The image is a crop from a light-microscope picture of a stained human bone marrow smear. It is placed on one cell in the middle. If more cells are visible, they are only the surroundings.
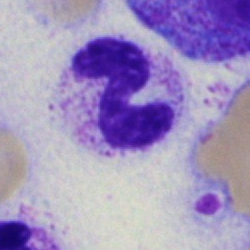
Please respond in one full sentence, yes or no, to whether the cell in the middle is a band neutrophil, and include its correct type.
Yes, the cell right in the middle is a band neutrophil.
